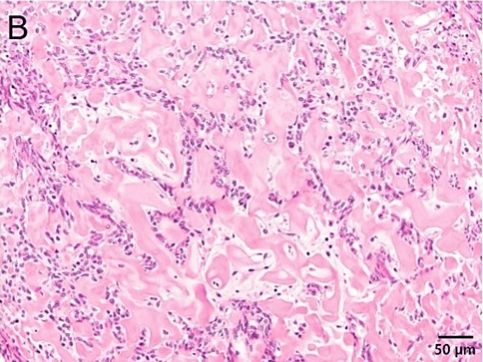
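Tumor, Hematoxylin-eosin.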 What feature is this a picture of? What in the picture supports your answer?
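Broad areas of homogeneous, glassy pink material fill much of the field. Cells lie in thin strands between the pink material. That points to this answer: hyalinized stroma.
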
